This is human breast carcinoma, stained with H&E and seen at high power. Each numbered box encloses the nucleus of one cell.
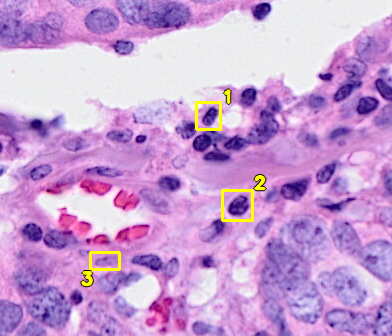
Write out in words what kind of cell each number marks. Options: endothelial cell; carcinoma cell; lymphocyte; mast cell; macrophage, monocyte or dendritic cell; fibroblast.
Cell 1 is a lymphocyte, cell 2 is a lymphocyte and cell 3 is an endothelial cell.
